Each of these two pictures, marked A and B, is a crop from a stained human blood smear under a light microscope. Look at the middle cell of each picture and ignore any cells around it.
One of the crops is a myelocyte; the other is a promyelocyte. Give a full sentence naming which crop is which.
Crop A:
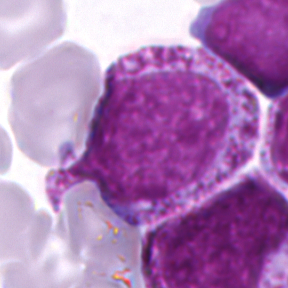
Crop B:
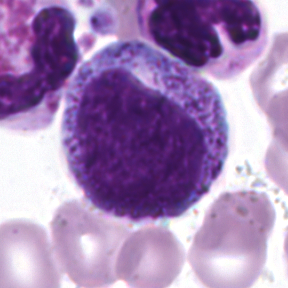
Whereas crop A contains a myelocyte, crop B contains a promyelocyte.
